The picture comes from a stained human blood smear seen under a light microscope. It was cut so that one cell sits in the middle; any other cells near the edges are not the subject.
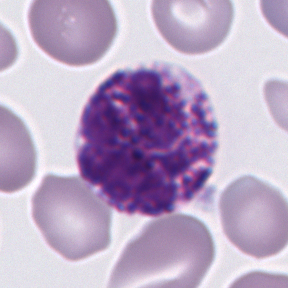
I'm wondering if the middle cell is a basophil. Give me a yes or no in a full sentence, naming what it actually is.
Yes, the cell in the middle is a basophil.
